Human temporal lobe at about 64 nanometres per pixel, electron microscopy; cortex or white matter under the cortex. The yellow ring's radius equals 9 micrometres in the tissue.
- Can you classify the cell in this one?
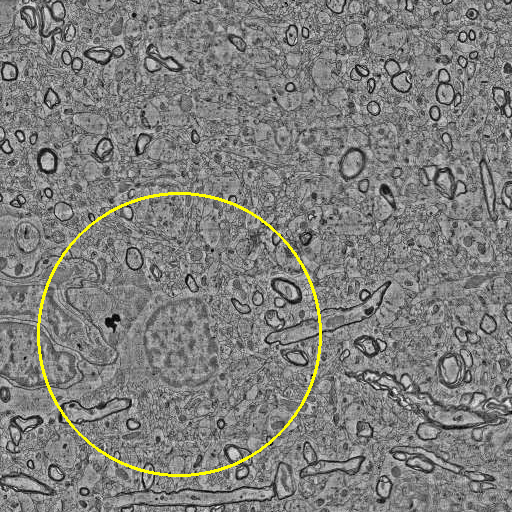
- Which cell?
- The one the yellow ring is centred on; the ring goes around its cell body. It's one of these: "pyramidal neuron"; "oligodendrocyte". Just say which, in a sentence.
The cell body in the ring belongs to an oligodendrocyte.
